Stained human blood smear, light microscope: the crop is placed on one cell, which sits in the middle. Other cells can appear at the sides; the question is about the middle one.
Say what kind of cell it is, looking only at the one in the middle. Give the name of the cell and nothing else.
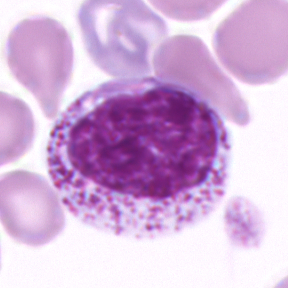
metamyelocyte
